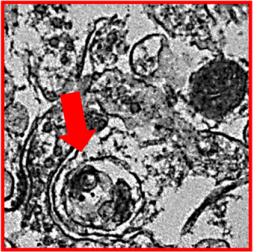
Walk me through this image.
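Transmission electron micrograph of neuropil containing an early autophagic vesicle. The vesicle is a large rounded structure bounded by two closely apposed membranes and encloses heterogeneous, amorphous material and smaller membranous profiles. Nearby profiles contain small round vesicles and membrane-bound organelles, including a darker oval organelle with internal membranes at upper right.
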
